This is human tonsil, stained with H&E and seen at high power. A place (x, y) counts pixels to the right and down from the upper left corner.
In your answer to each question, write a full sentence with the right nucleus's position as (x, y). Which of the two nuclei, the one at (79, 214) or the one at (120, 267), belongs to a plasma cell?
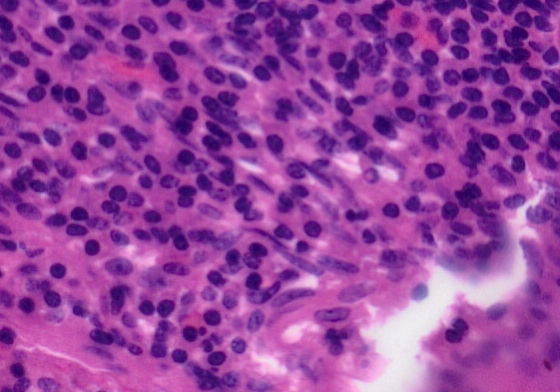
Of the two, the nucleus lying at (79, 214) is the one belonging to a plasma cell.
